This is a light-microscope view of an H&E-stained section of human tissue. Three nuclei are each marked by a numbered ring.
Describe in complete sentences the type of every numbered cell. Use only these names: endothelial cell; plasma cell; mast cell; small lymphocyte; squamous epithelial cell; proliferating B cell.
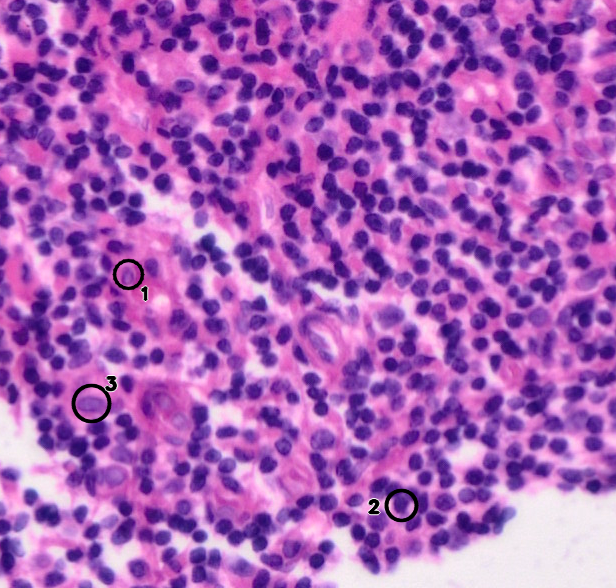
Cell 1 is an endothelial cell, cell 2 is a small lymphocyte and cell 3 is an endothelial cell.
